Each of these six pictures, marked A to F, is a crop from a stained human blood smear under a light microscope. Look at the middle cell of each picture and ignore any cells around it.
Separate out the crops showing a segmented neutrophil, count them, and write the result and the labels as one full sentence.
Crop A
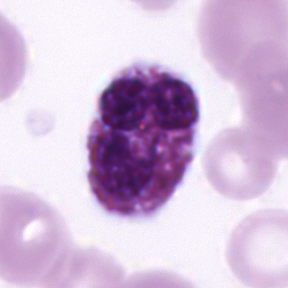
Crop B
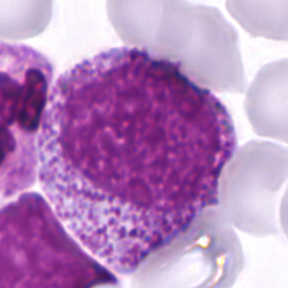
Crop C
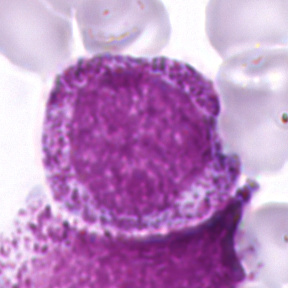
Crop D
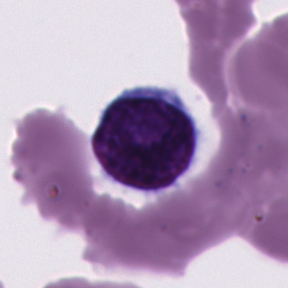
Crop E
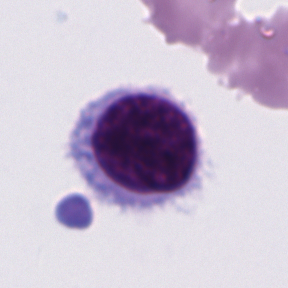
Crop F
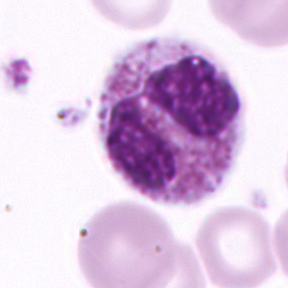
Zero, since segmented neutrophils are not present in any of the crops.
